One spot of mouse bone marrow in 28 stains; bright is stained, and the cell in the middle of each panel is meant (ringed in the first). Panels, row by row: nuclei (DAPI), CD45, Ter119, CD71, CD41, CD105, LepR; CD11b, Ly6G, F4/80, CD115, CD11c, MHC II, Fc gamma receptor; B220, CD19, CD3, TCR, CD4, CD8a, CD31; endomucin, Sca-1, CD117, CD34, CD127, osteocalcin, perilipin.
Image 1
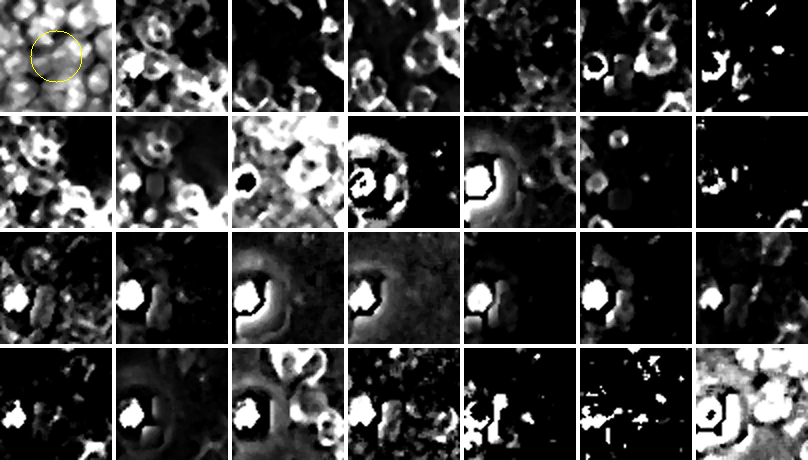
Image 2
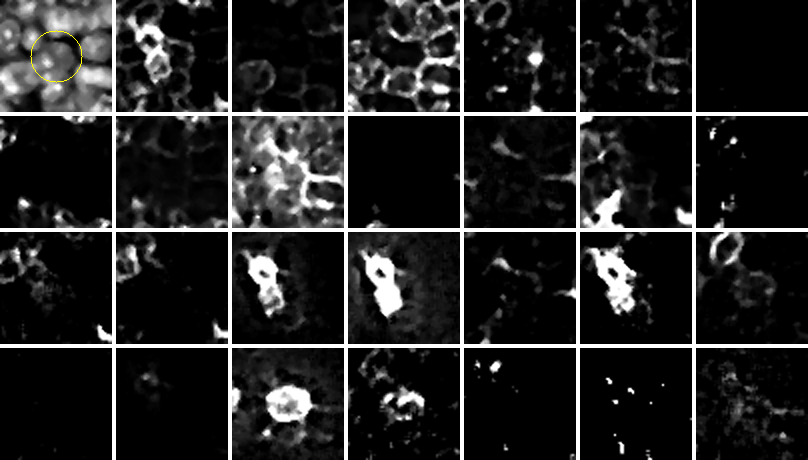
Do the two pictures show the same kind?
Yes, both are erythroid progenitors (CFU-E).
